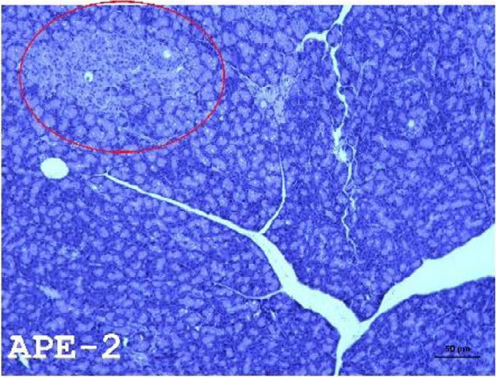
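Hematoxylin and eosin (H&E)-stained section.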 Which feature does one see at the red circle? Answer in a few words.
Islets of Langerhans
